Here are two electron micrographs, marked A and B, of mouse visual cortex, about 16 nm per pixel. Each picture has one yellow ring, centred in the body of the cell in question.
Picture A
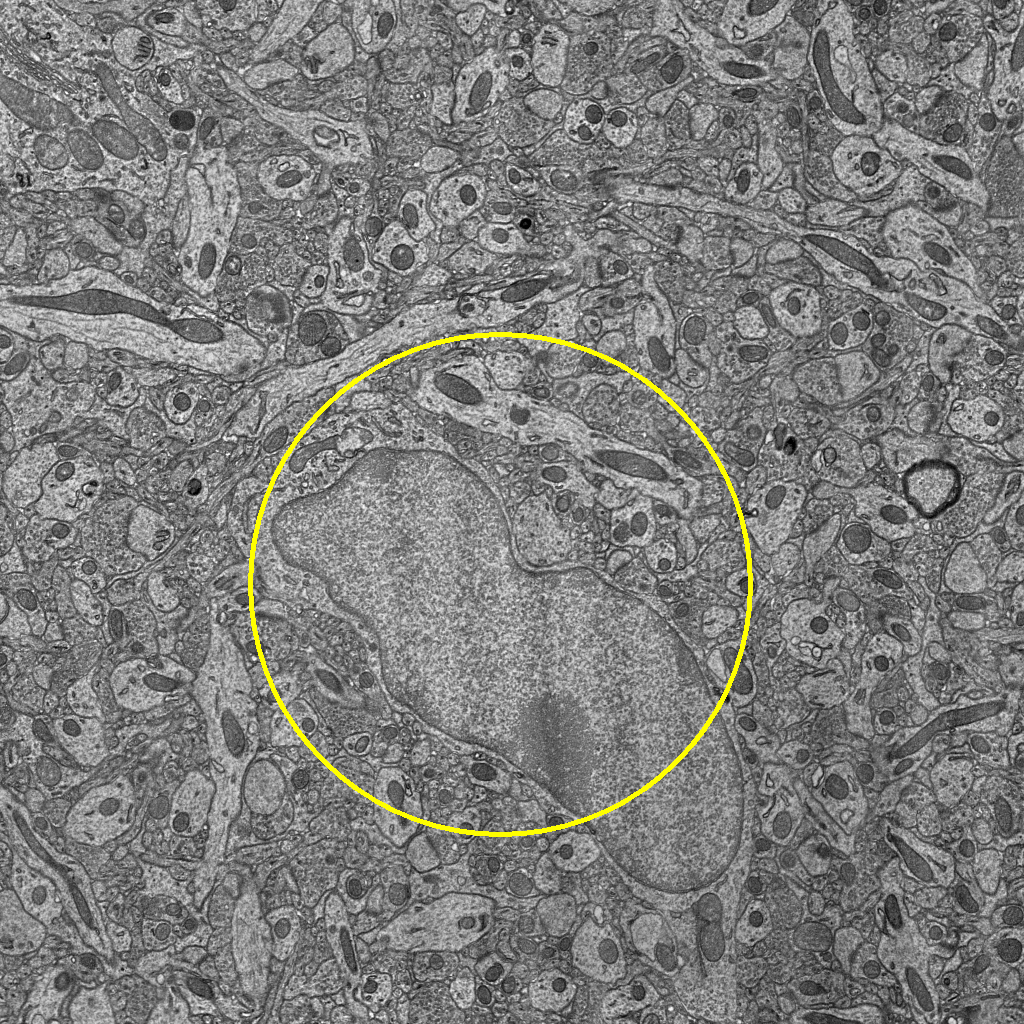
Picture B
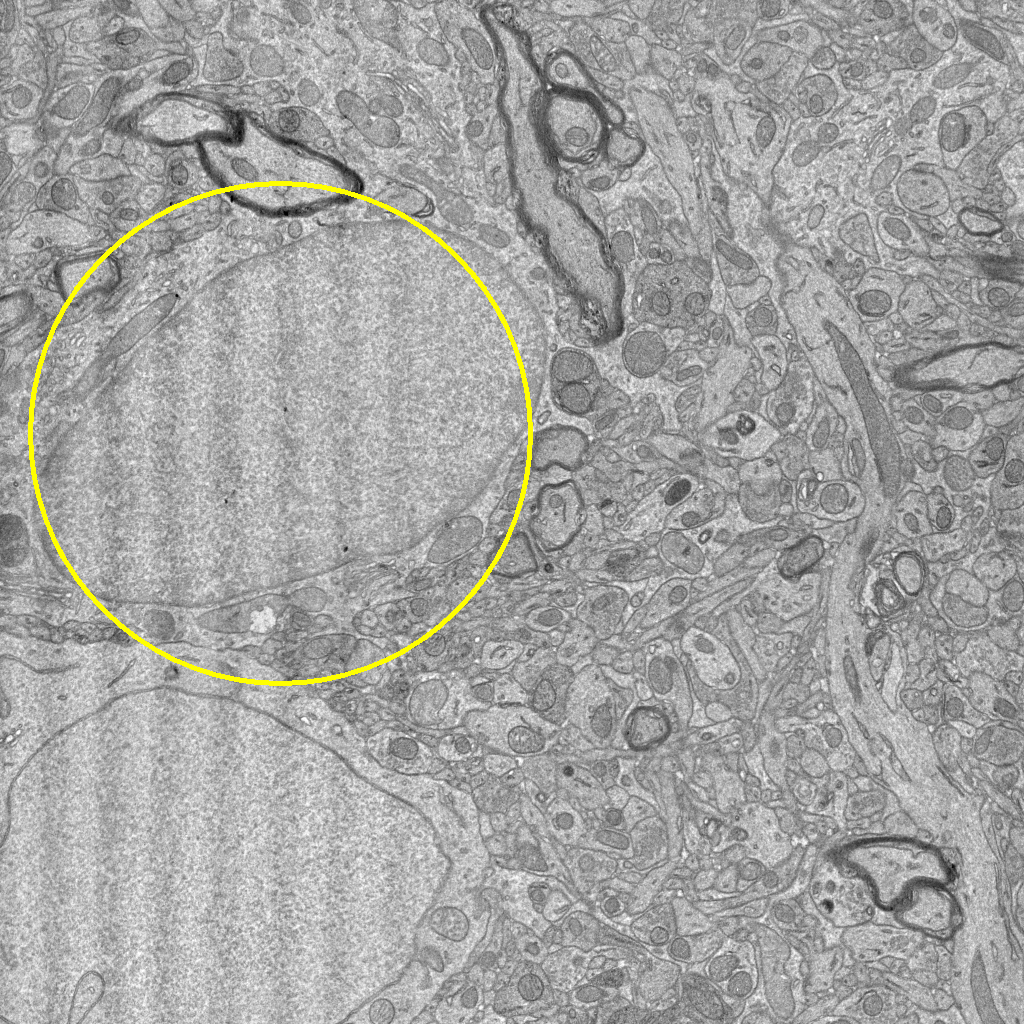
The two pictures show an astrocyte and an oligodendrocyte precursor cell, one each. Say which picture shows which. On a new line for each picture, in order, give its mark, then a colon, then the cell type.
A: oligodendrocyte precursor cell
B: astrocyte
